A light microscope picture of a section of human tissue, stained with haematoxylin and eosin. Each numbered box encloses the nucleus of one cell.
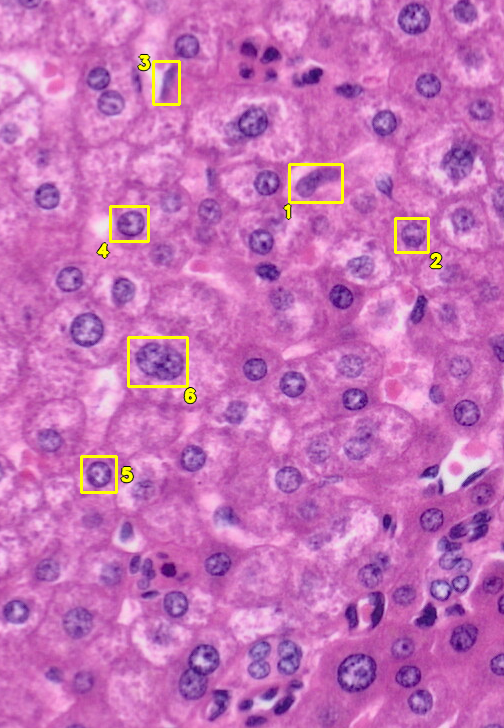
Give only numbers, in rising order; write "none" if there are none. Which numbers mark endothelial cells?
3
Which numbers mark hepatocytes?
2, 4, 5, 6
